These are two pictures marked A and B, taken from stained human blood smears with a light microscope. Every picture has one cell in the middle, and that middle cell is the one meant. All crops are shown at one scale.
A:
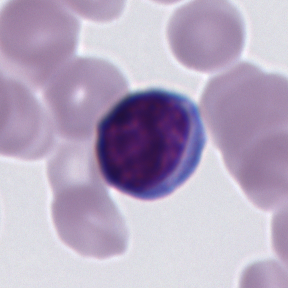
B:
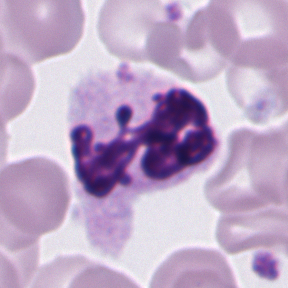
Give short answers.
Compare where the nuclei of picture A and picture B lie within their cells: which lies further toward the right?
B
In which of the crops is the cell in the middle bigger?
B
